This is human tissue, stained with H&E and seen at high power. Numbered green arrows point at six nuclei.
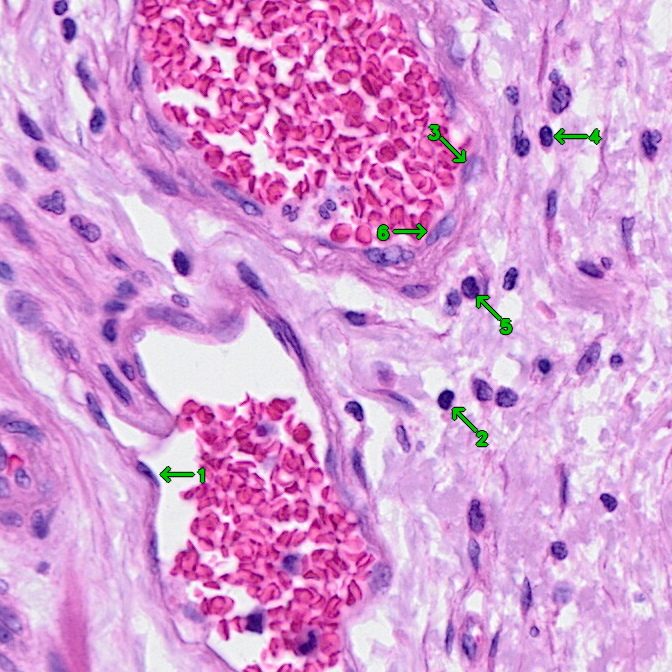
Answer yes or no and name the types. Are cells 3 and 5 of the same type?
No, the proper labels are an endothelial cell for cell 3 and a lymphocyte for cell 5.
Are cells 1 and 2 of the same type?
No, cell 1 here is an endothelial cell and cell 2 here is a lymphocyte.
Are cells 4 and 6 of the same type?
No, the cell bearing number 4 is a lymphocyte, while the one bearing number 6 is an endothelial cell.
